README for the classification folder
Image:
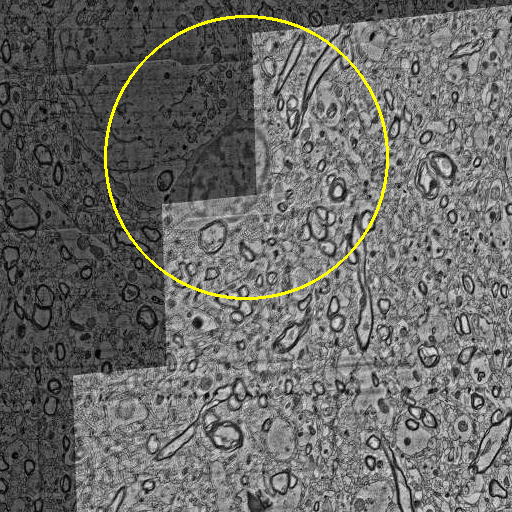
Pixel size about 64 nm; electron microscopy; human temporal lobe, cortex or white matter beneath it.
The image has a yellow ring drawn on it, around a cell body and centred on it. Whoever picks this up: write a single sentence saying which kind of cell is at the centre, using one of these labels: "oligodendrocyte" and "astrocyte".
This cell body is that of an oligodendrocyte.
